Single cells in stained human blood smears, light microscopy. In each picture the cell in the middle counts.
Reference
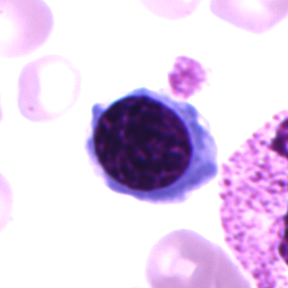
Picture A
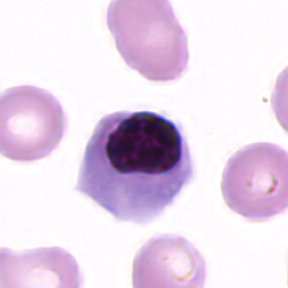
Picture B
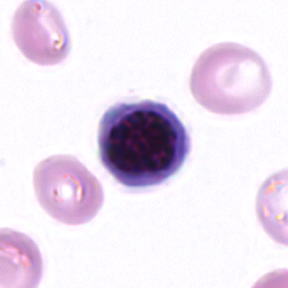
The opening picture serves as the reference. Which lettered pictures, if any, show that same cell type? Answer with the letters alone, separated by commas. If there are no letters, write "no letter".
A, B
